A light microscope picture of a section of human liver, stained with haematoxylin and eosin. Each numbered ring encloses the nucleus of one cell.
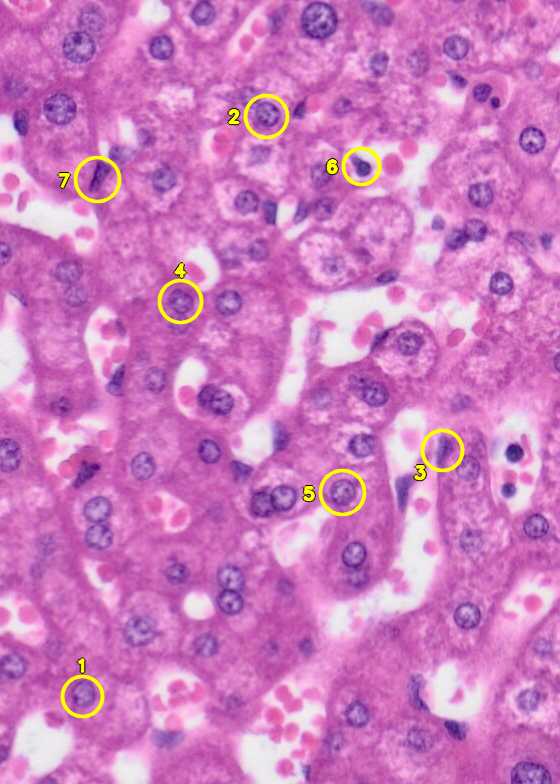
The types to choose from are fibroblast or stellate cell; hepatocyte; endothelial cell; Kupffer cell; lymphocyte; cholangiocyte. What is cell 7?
fibroblast or stellate cell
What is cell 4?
hepatocyte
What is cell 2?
hepatocyte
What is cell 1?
hepatocyte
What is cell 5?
hepatocyte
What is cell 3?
fibroblast or stellate cell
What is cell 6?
lymphocyte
